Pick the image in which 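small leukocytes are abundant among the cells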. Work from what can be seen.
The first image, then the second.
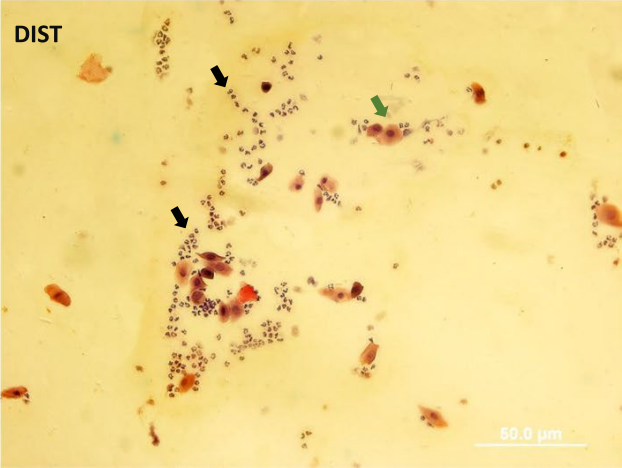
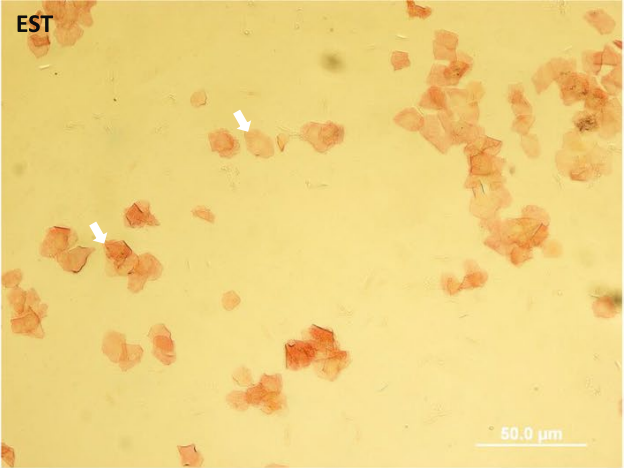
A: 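The first image. First image: dense clusters of tiny cells with dark lobed nuclei fill much of the field. Second image: only large flat anucleate cells, no small round cells.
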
